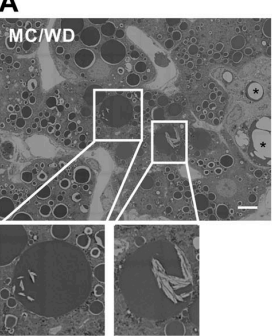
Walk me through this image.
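This is a low-power electron micrograph of fatty liver, with hepatocytes crowded with round lipid droplets of very different sizes. The droplets appear as dark, smoothly outlined circles, some large enough to fill much of a cell, with many smaller ones scattered between them. Paler grey irregular channels run between the cell groups. Two asterisks on the right mark rounded structures with a pale centre. The two insets below enlarge boxed areas: one shows a large droplet with small, sharp, needle-like clefts at its edge, and the other shows a cluster of elongated, angular crystal-shaped clefts.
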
